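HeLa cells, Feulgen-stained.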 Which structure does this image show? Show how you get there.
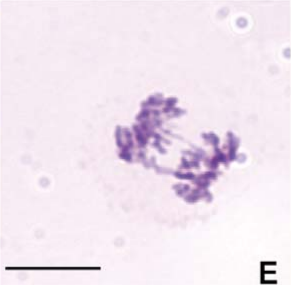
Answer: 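Two groups of separating chromosomes are joined by stretched strands of chromatin between them. So: chromosome bridges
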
